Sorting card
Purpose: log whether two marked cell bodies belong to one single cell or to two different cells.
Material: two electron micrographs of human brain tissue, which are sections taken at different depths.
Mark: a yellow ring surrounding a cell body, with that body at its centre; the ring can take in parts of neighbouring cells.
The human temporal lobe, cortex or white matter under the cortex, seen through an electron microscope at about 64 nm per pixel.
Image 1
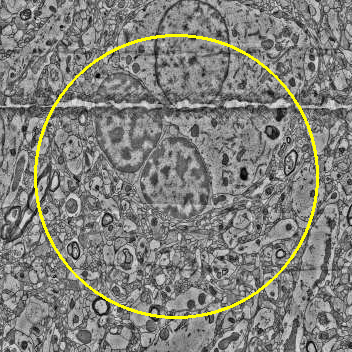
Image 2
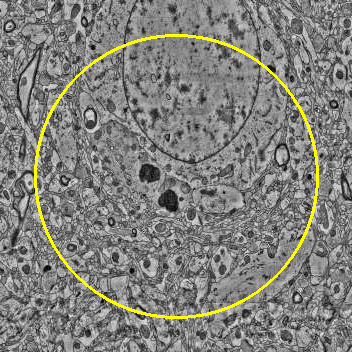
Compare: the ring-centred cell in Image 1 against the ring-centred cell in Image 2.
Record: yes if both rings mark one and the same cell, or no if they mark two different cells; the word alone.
yes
